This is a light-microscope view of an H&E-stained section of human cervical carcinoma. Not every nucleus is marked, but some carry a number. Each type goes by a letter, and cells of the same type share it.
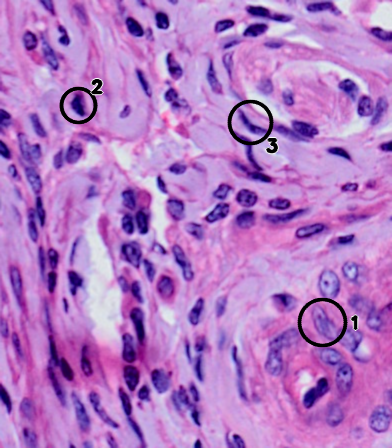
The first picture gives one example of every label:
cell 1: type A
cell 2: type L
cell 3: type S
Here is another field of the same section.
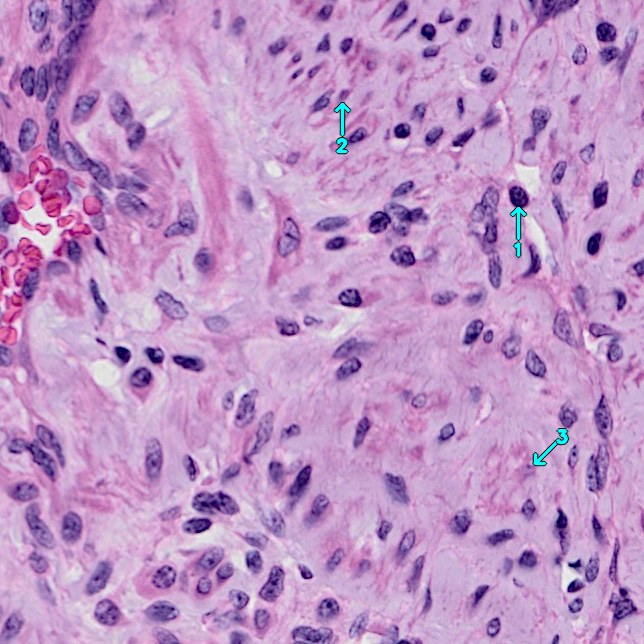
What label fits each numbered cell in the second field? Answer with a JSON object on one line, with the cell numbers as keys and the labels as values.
{"1": "type L", "2": "type A", "3": "type A"}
